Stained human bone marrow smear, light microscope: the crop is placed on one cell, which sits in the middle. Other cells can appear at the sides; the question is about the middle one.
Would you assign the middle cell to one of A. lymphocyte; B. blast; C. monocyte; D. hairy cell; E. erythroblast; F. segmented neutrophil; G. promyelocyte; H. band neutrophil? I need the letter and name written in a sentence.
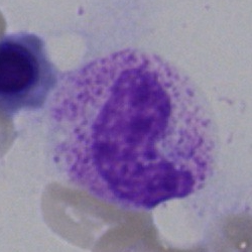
Option H is the correct selection, for the cell at the centre is a band neutrophil.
